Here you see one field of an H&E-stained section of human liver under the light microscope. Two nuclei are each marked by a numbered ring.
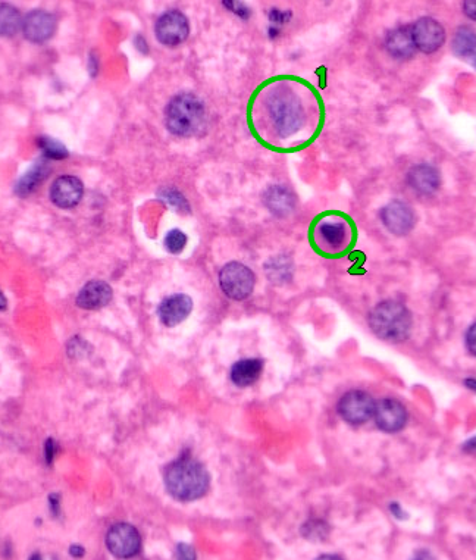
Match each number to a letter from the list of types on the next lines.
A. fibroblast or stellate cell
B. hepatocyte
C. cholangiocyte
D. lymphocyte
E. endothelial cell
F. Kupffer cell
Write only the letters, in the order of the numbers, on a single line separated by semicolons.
E; A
